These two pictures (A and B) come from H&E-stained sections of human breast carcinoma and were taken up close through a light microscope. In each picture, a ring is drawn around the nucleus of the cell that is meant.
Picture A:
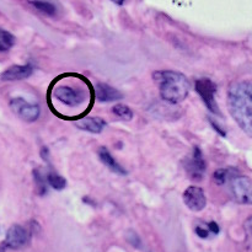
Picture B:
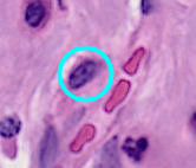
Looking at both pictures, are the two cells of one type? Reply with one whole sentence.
Yes, both cells are mast cells.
